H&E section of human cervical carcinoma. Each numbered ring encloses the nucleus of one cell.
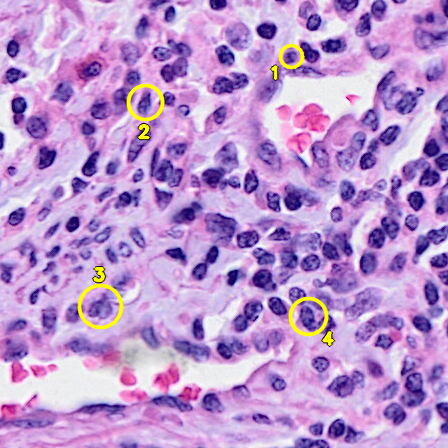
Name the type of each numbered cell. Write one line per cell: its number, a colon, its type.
1: lymphocyte
2: lymphocyte
3: macrophage or monocyte
4: lymphocyte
